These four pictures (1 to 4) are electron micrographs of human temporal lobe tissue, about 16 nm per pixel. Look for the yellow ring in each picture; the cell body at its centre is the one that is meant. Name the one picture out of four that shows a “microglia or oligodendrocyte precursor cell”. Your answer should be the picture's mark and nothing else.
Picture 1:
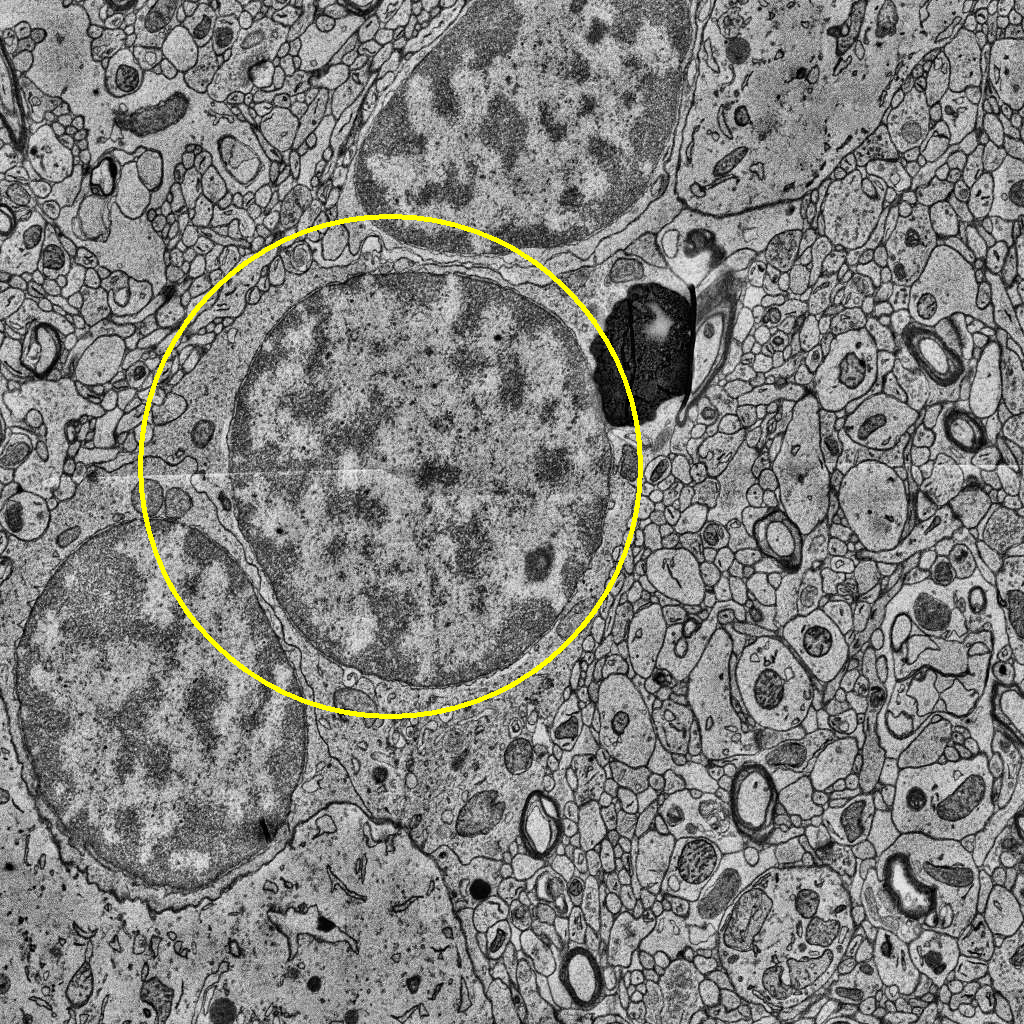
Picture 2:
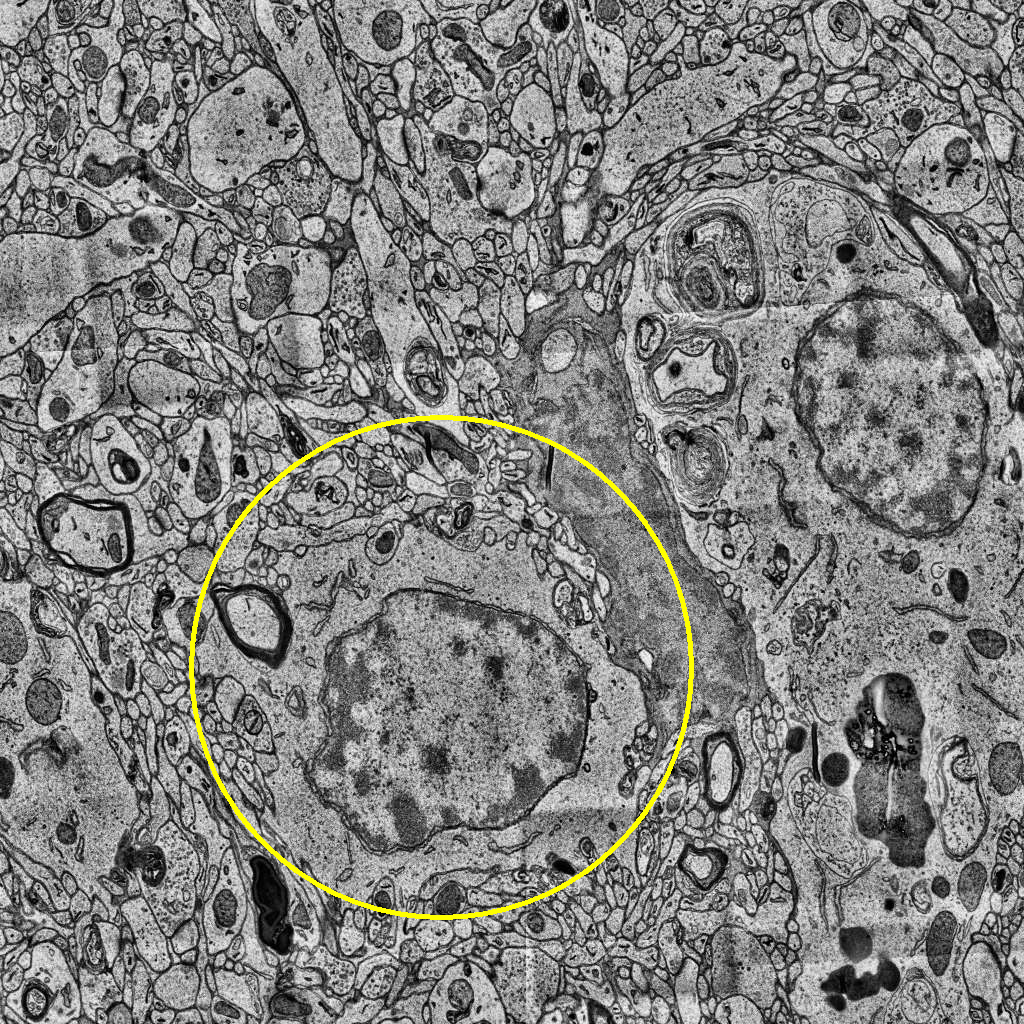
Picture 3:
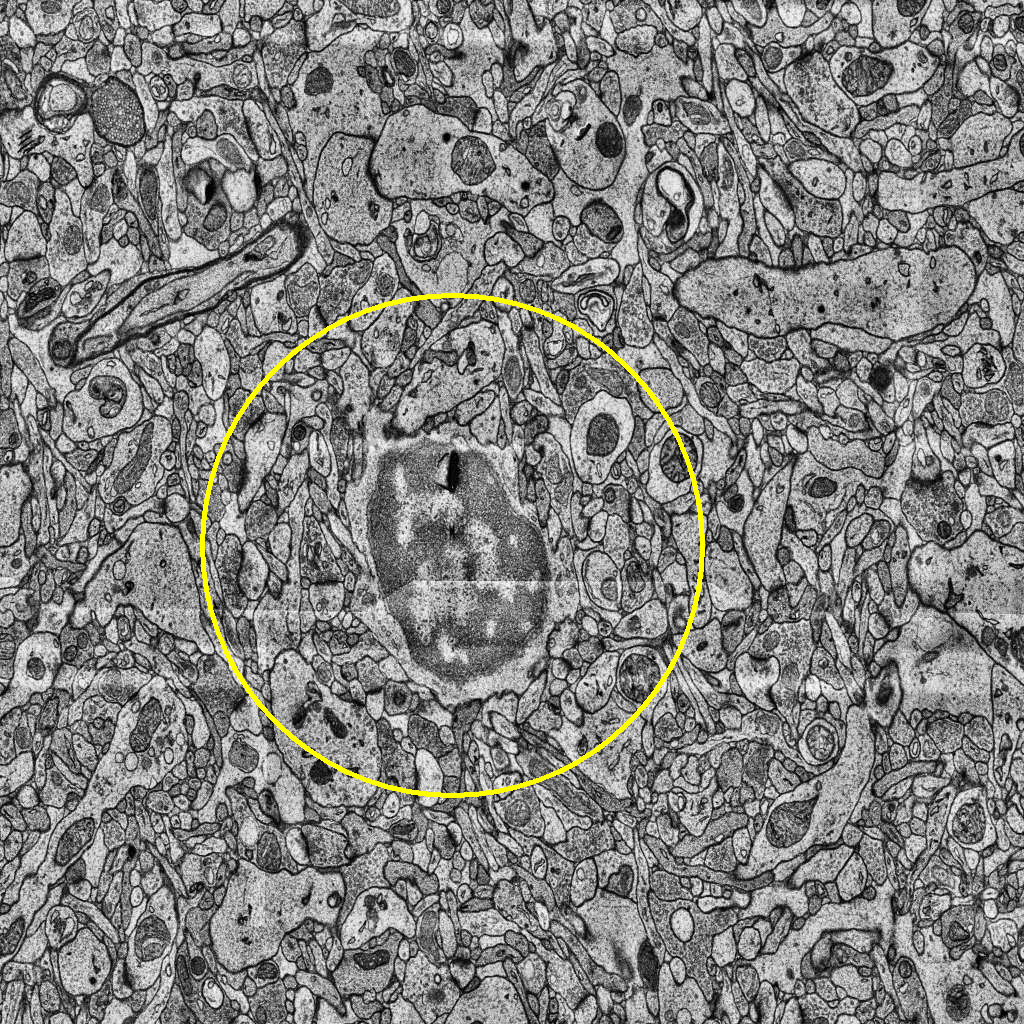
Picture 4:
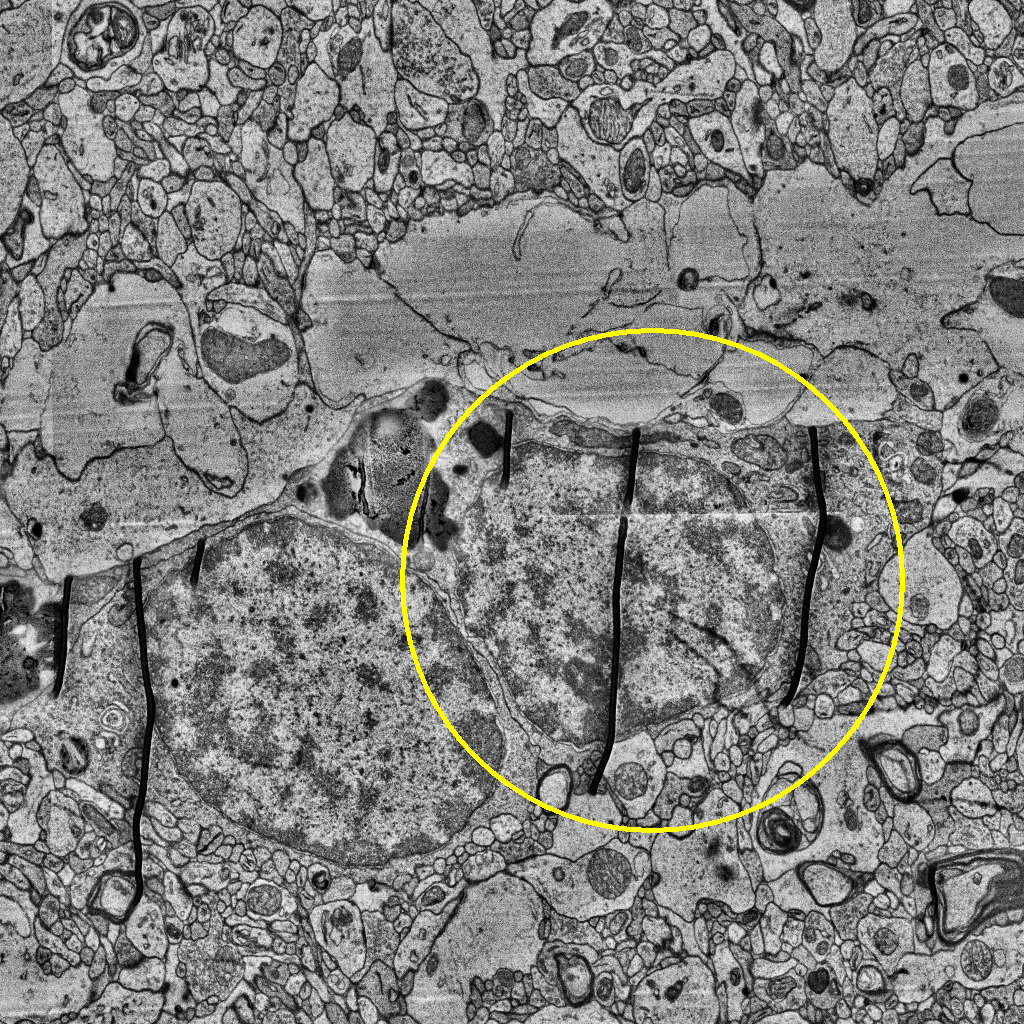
3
